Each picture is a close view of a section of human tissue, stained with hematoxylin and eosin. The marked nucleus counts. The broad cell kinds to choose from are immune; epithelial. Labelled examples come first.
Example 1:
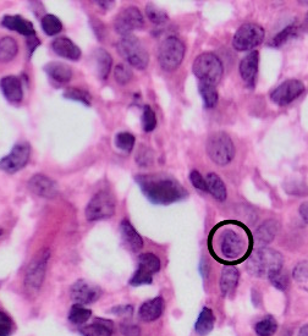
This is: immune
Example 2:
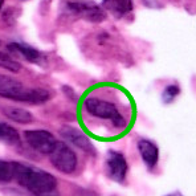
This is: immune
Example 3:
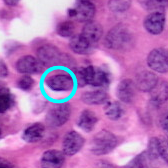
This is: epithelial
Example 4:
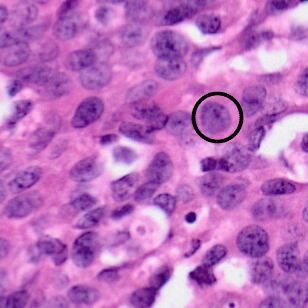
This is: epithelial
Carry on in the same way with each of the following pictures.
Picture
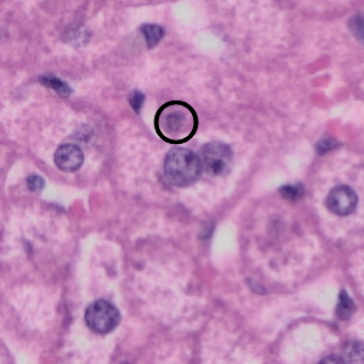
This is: immune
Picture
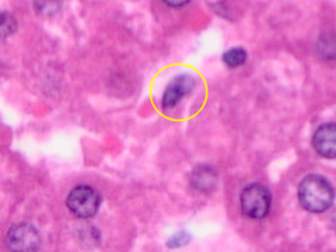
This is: immune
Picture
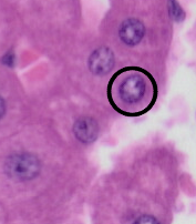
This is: epithelial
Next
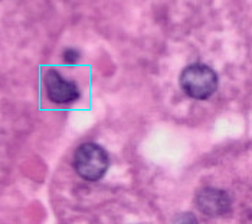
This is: immune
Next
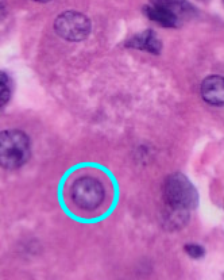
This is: epithelial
